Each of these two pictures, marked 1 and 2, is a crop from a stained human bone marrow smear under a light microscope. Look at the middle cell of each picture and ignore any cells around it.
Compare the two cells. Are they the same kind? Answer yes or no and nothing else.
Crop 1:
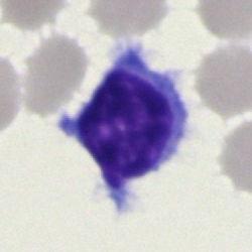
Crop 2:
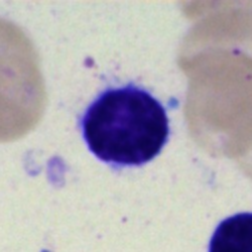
yes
